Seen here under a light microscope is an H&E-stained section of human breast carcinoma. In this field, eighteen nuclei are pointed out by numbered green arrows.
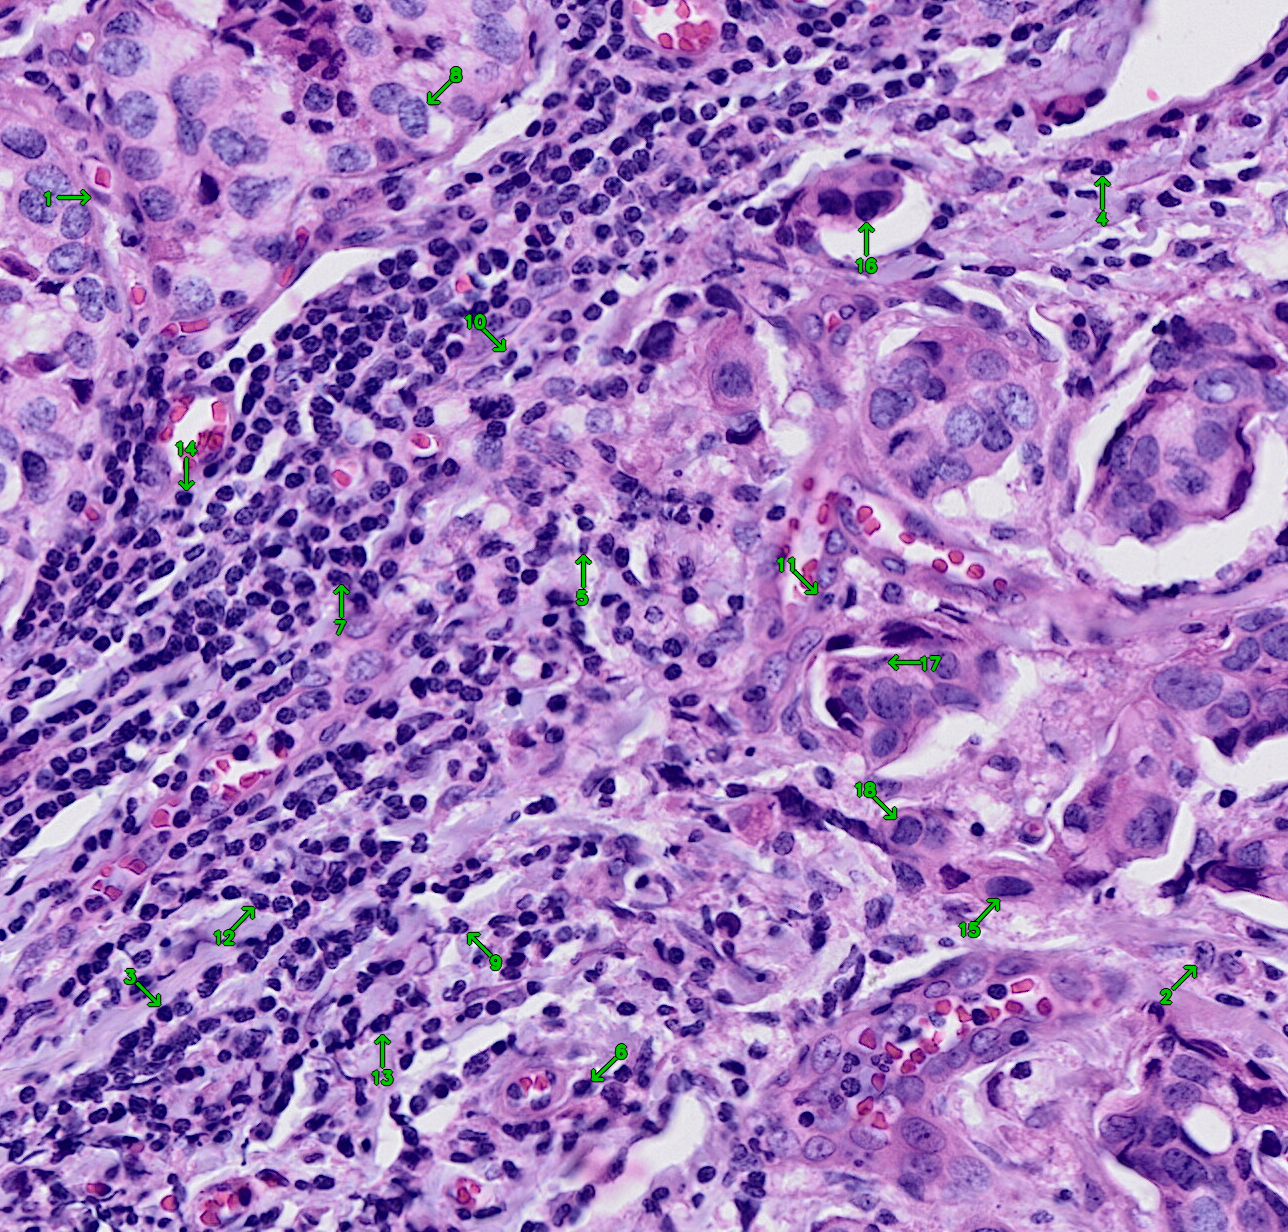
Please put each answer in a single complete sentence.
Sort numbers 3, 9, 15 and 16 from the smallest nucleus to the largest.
Smallest first, the nuclei run 3, 9, 16, 15.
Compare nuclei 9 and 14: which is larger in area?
The larger nucleus is 9, at roughly 1.5 times the area of 14.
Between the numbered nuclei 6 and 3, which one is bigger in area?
It is nucleus 6, which covers about 1.5 times the area of nucleus 3.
